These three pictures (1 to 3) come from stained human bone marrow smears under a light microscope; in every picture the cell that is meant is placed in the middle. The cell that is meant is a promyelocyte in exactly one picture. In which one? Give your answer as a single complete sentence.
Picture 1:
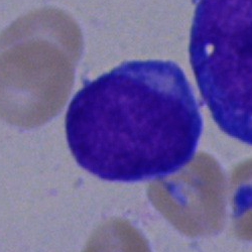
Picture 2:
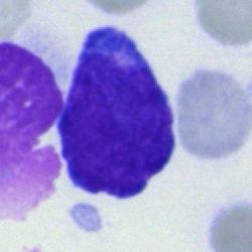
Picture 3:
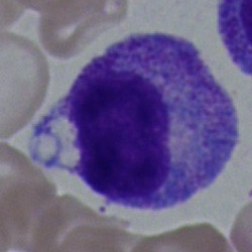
It is picture 3 that shows the promyelocyte.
